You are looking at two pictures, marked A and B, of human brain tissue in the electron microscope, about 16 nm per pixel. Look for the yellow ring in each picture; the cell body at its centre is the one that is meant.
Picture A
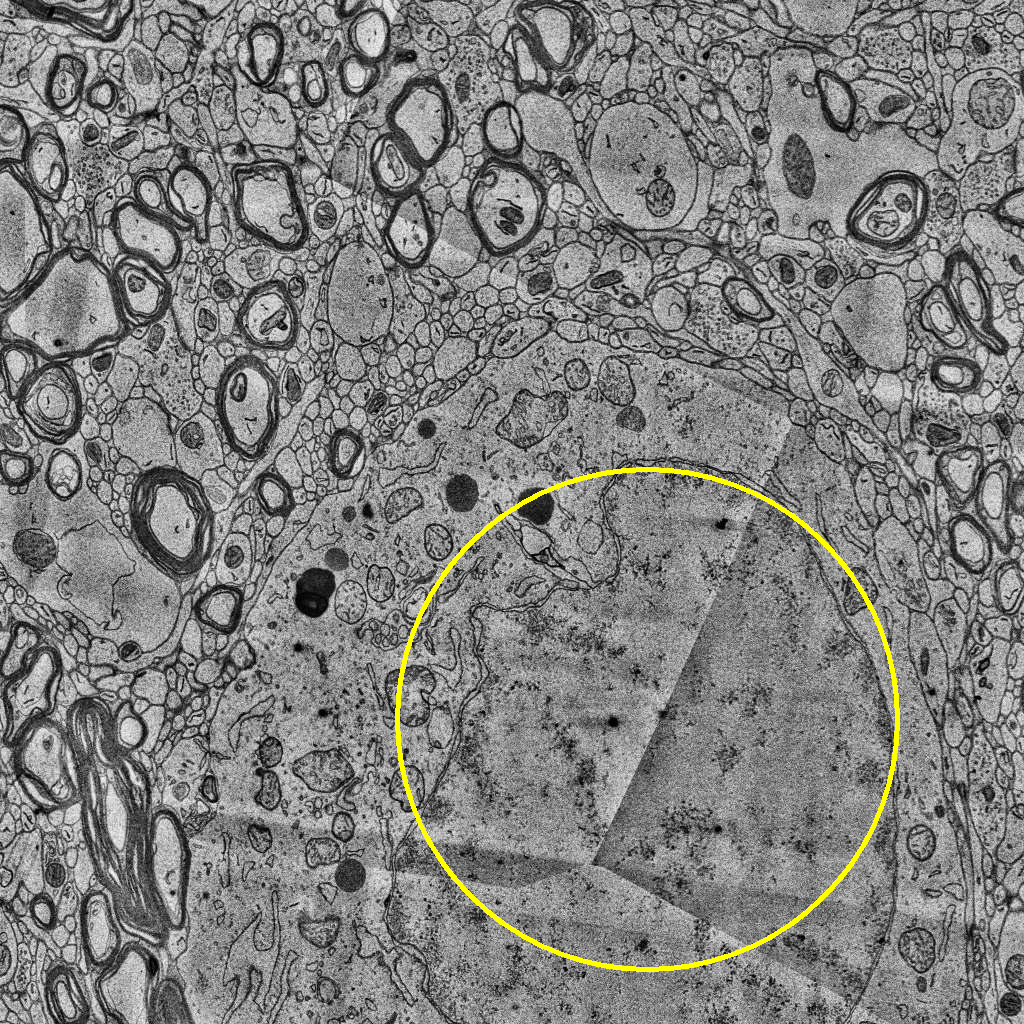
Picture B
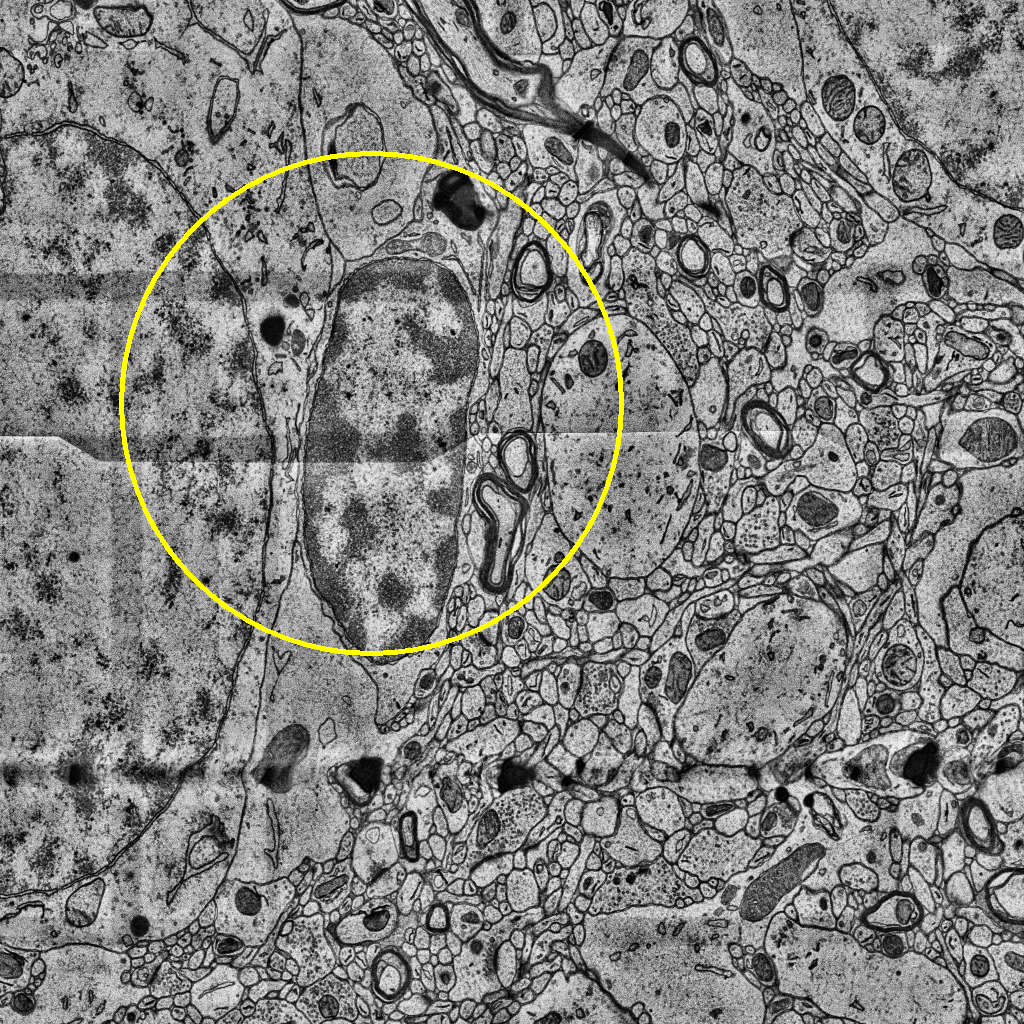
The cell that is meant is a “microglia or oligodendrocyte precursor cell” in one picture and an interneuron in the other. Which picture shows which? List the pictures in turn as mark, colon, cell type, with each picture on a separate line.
A: interneuron
B: microglia or oligodendrocyte precursor cell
